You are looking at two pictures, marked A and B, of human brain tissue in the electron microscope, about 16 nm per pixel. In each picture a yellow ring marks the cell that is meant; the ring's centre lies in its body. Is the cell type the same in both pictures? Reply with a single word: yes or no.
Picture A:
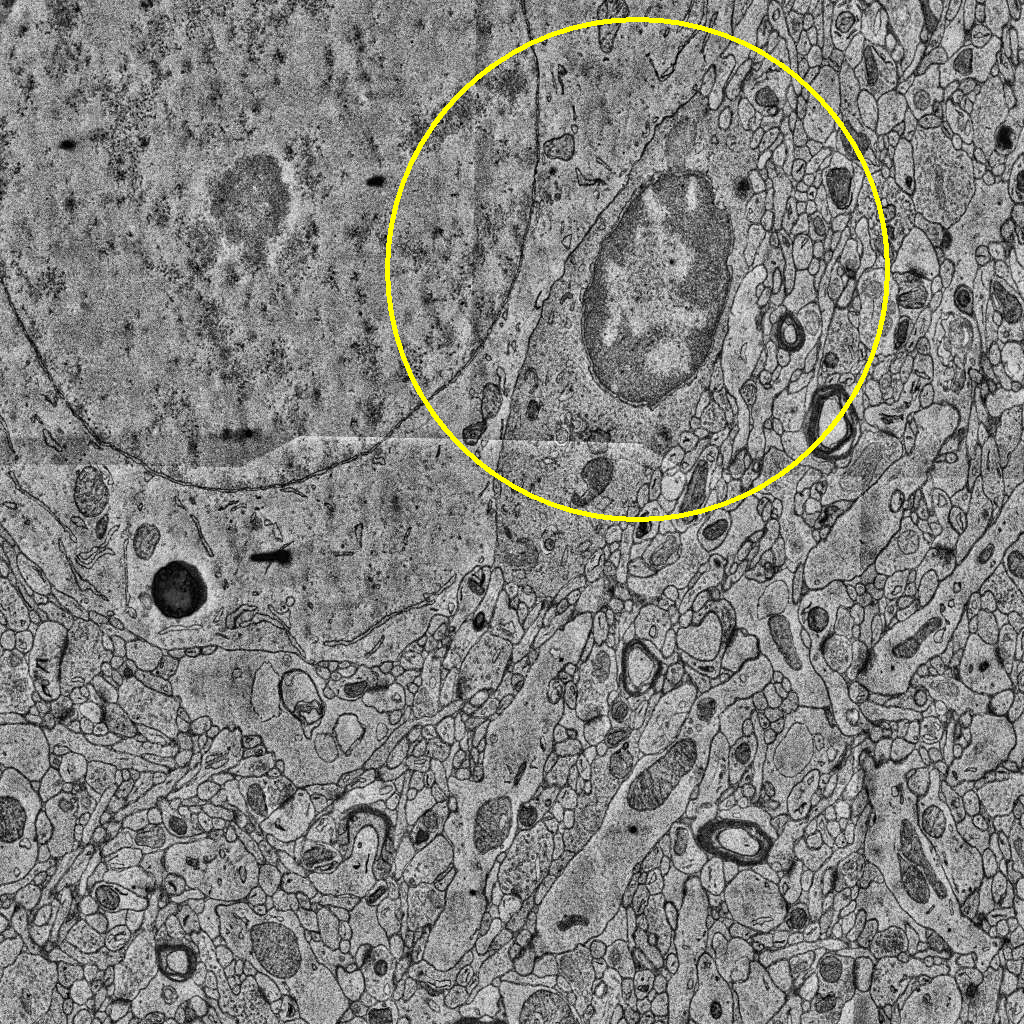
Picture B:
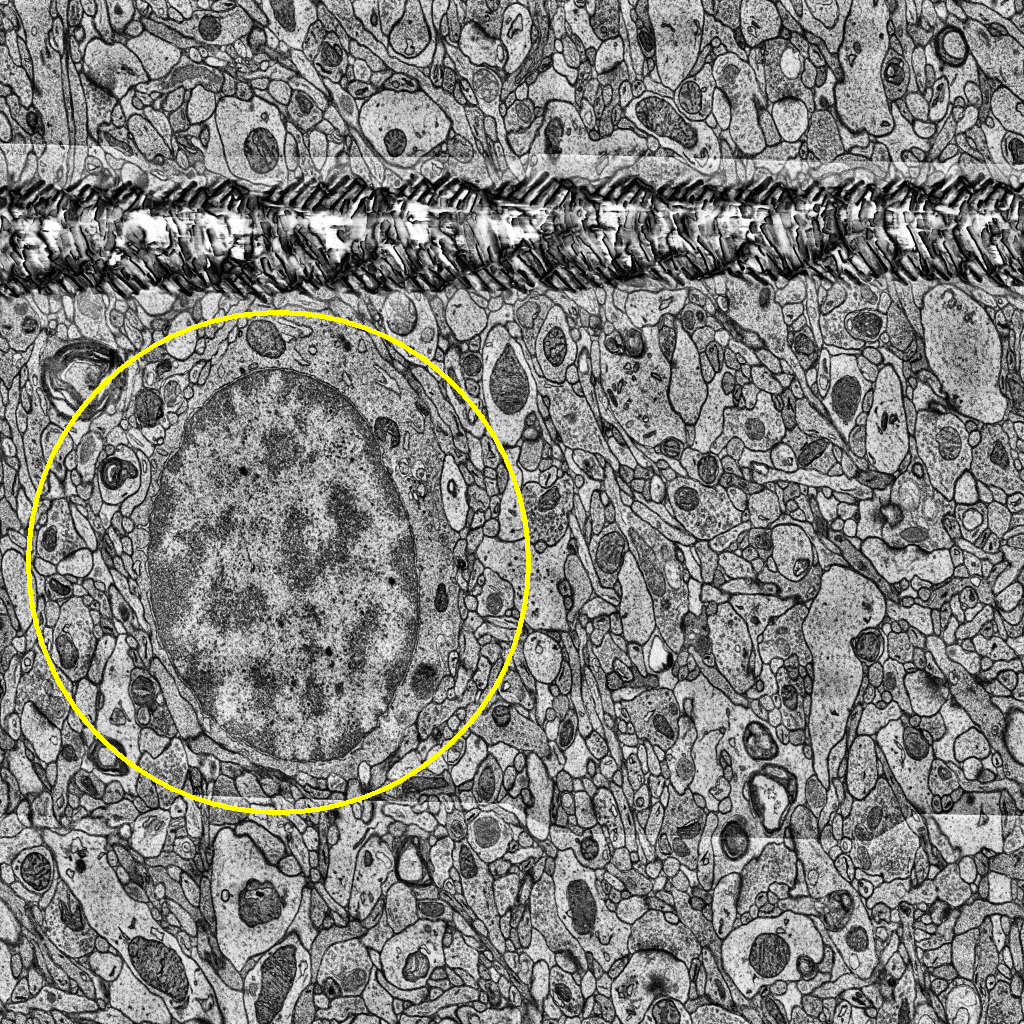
yes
